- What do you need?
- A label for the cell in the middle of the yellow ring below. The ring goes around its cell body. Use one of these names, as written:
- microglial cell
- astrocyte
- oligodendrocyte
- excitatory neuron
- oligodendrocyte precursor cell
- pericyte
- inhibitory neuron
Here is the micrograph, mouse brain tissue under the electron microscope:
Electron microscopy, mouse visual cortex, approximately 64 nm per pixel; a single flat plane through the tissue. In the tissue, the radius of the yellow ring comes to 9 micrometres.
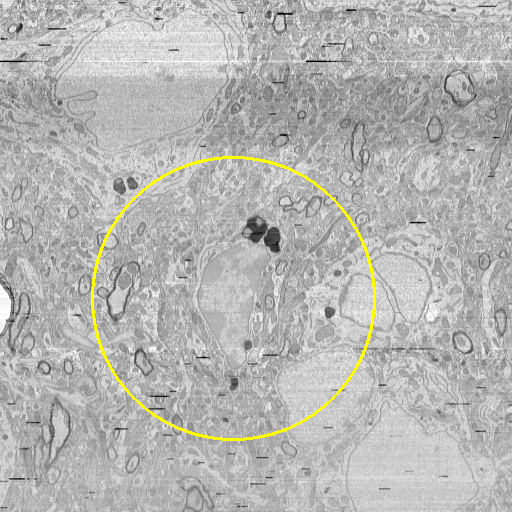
microglial cell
